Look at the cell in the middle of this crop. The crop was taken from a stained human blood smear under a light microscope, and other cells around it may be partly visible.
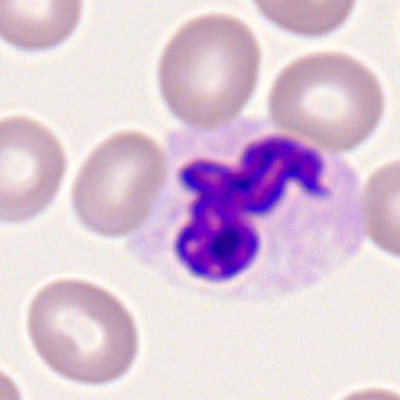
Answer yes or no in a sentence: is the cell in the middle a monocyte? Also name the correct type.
No, the central cell is counted as a segmented neutrophil instead of a monocyte.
